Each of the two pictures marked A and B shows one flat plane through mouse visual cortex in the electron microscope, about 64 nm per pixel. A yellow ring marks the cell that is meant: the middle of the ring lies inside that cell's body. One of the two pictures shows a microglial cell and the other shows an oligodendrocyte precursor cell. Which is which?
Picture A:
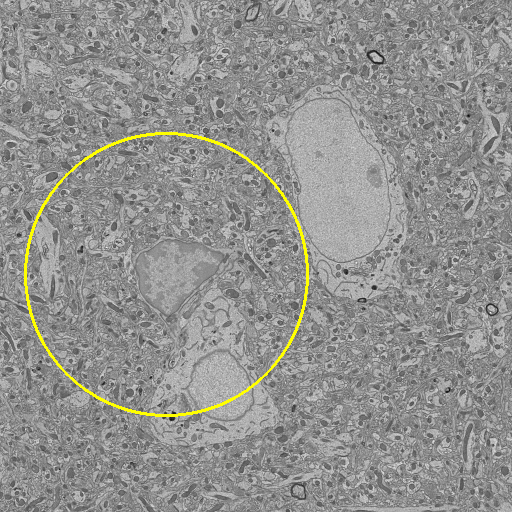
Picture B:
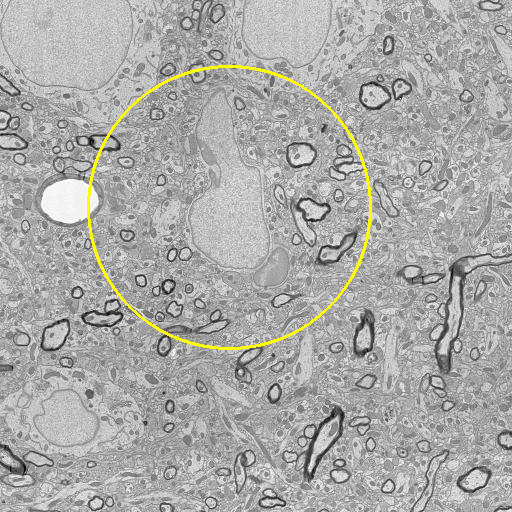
The cell in picture A is a microglial cell, and the one in picture B is an oligodendrocyte precursor cell.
